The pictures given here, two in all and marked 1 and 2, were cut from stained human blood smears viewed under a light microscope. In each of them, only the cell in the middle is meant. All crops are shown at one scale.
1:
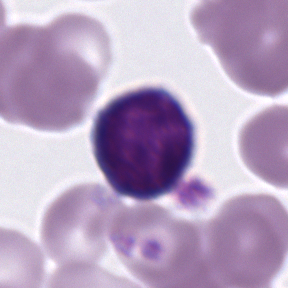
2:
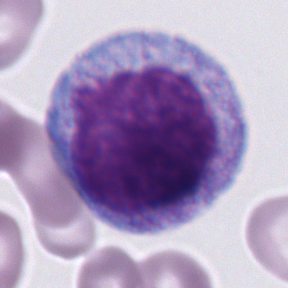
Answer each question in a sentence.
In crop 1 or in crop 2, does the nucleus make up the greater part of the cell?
In crop 1 the nucleus takes up the larger part of its cell.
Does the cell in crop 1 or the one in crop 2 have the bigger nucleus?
It is the nucleus in crop 2, about 2 times as large in area as the one in crop 1.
